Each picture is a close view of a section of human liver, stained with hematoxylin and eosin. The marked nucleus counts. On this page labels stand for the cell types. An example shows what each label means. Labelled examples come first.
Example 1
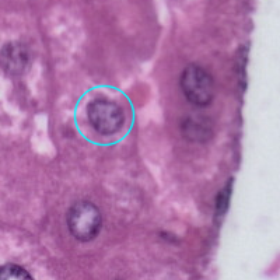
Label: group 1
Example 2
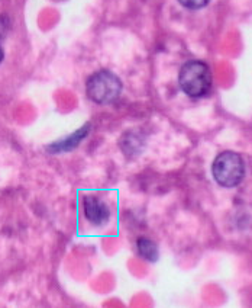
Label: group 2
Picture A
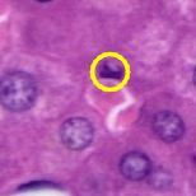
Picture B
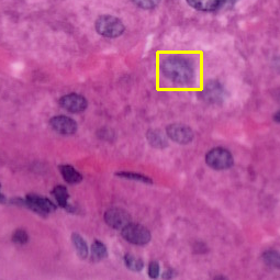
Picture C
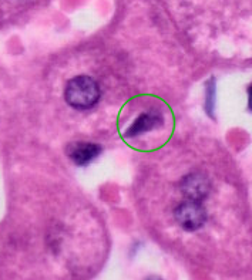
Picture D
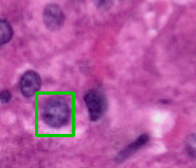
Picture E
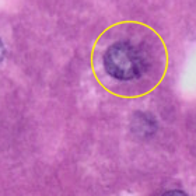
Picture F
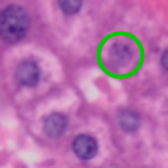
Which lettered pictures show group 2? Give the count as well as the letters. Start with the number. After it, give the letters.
Count: 2 (A, C)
